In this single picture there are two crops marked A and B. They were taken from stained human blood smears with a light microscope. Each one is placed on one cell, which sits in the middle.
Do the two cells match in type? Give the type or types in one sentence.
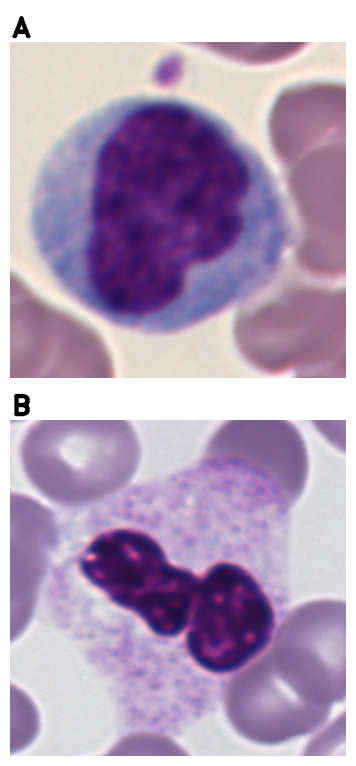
No, crop A presents a monocyte, whereas crop B presents a segmented neutrophil.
